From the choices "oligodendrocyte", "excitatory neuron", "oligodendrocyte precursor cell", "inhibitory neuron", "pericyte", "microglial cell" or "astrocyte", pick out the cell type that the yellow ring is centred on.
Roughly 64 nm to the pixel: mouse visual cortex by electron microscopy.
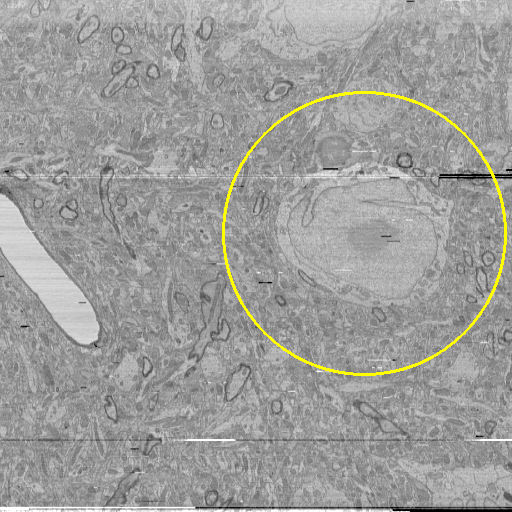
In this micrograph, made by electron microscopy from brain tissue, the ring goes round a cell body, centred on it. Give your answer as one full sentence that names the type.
The yellow ring is centred on an inhibitory neuron, whose cell body it encircles in the picture.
